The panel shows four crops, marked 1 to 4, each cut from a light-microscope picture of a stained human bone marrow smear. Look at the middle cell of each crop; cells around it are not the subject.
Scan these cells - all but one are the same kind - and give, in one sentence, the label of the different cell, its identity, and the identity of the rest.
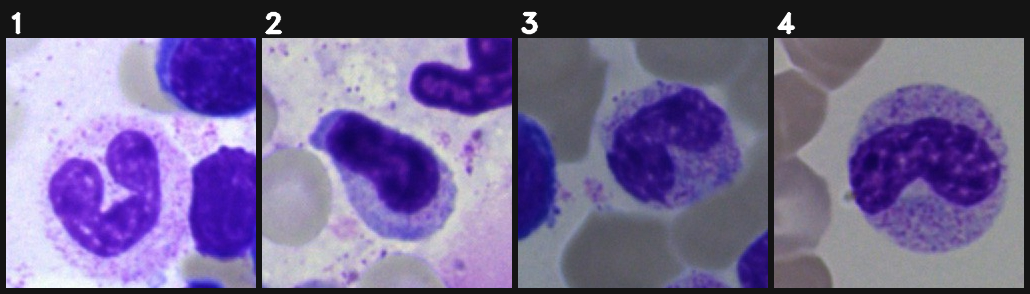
The crops all show band neutrophils, with the exception of crop 1, which shows a segmented neutrophil.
